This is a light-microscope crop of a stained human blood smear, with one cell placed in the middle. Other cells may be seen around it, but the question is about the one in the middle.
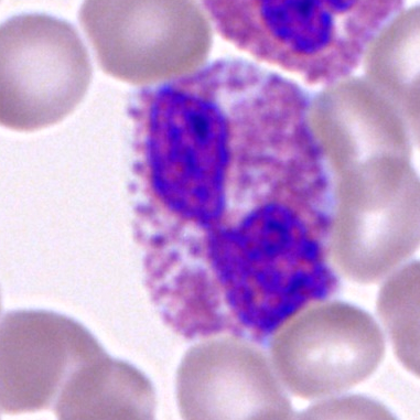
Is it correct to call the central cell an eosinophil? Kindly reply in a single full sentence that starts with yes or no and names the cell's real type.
Yes, the crop's central cell is an eosinophil.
